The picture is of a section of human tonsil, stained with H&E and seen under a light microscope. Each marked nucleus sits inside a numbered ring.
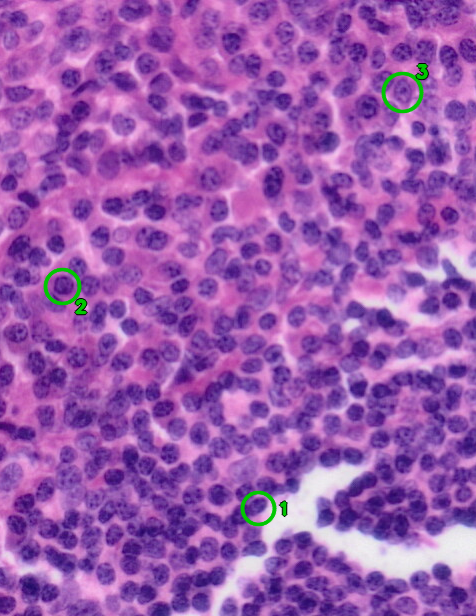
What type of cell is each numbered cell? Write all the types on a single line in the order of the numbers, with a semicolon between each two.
small lymphocyte; plasma cell; plasma cell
